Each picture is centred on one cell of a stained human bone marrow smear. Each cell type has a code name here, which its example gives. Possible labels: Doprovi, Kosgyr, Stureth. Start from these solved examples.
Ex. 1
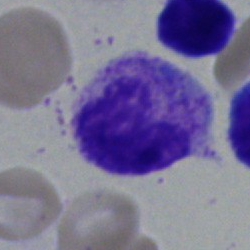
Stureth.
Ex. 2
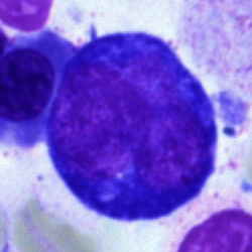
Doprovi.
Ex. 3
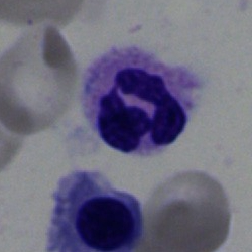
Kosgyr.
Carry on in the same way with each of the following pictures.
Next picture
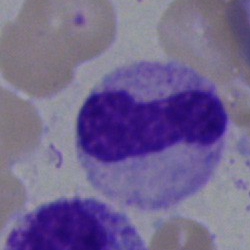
Stureth.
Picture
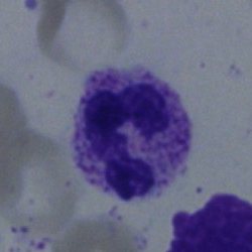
Kosgyr.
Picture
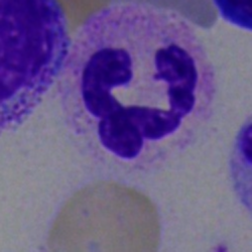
Kosgyr.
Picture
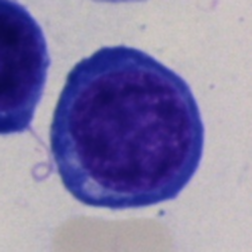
Doprovi.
